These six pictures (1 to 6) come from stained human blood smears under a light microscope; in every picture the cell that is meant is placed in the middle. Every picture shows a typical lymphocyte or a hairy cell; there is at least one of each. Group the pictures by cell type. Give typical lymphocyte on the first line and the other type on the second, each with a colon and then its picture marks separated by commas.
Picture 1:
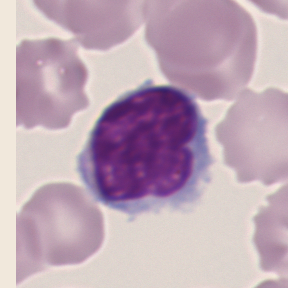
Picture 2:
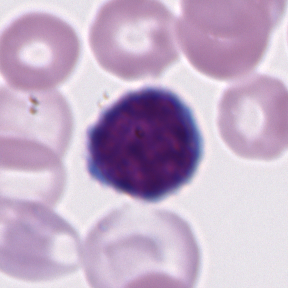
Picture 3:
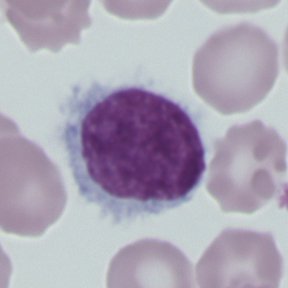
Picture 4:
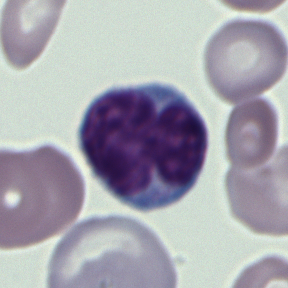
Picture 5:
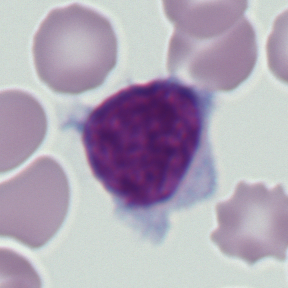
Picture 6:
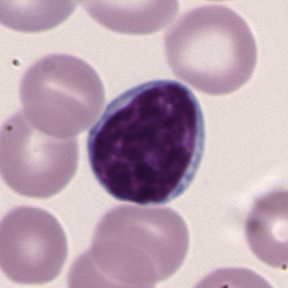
typical lymphocyte: 2, 4, 6
hairy cell: 1, 3, 5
